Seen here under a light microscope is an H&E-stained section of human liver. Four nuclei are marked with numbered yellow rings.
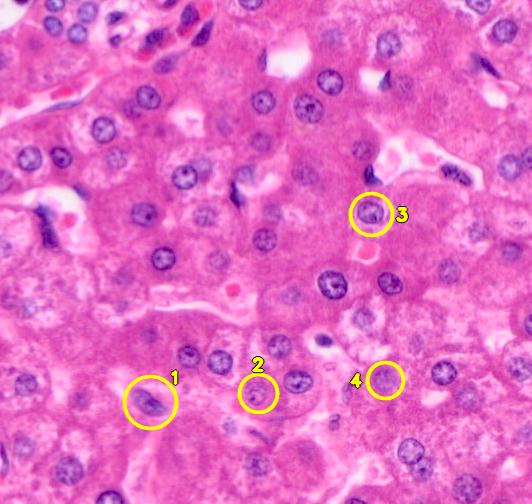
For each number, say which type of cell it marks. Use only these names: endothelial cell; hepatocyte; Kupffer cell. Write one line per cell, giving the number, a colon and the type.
1: Kupffer cell
2: hepatocyte
3: hepatocyte
4: hepatocyte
